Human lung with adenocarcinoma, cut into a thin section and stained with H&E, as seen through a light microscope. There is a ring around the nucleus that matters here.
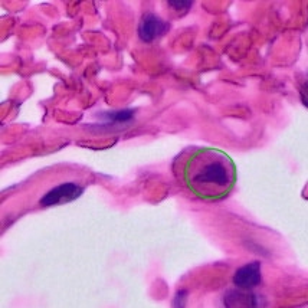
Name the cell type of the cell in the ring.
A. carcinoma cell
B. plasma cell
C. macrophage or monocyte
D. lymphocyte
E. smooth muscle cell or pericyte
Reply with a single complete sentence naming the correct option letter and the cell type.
Option C names the cell in the ring correctly as a macrophage or monocyte.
